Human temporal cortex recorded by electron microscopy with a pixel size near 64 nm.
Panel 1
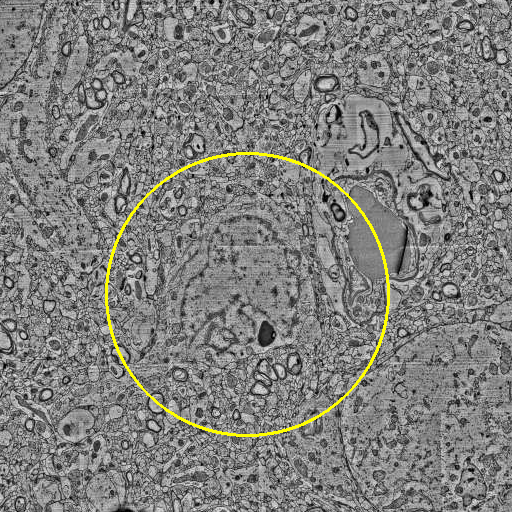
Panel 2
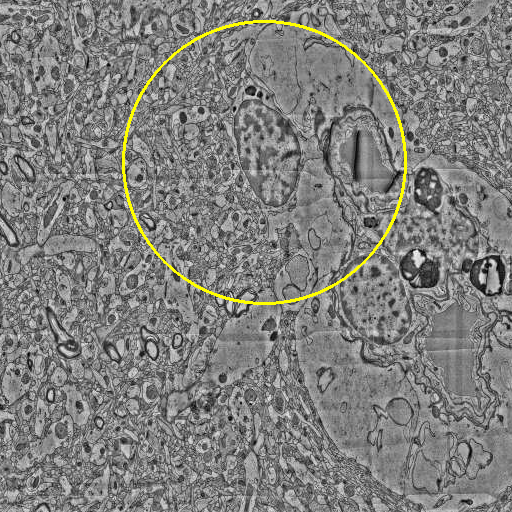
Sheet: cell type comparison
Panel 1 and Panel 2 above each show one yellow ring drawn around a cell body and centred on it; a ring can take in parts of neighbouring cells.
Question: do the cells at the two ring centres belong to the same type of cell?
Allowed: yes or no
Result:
no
